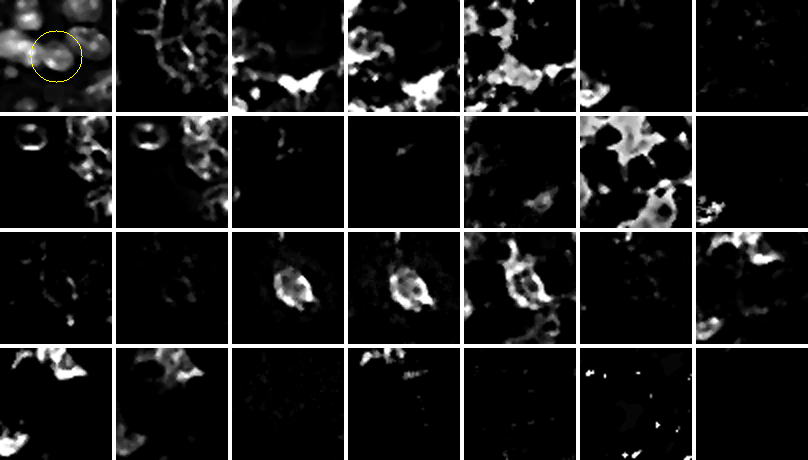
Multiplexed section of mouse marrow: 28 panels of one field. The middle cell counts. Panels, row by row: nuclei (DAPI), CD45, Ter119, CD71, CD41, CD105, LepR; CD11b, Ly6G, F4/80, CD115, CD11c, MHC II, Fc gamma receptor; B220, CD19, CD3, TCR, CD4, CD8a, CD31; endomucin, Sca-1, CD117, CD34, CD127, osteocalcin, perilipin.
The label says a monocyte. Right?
Wrong: this is a CD4 T cell.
